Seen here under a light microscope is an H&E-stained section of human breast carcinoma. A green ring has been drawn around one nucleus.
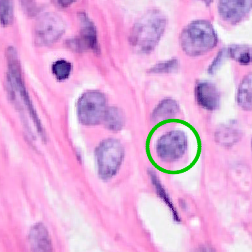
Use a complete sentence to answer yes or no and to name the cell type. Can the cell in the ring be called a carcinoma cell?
Yes, and to confirm, the cell in the ring is a carcinoma cell.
